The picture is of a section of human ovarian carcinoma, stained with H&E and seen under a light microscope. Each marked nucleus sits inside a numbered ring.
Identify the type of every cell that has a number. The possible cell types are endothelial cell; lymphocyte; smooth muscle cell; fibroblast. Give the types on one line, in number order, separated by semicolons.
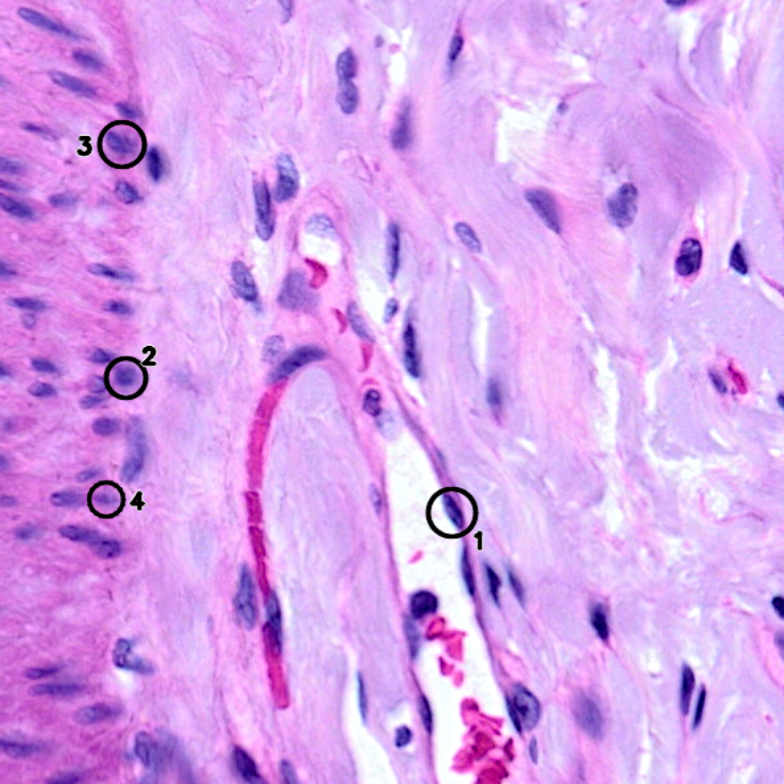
endothelial cell; smooth muscle cell; smooth muscle cell; smooth muscle cell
